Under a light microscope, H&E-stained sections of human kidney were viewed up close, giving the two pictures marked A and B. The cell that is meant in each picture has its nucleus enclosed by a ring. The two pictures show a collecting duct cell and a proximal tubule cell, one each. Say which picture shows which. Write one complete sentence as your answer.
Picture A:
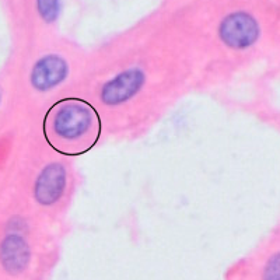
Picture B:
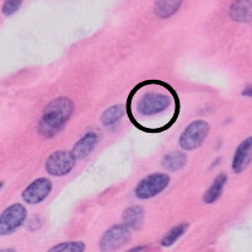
Picture A shows a proximal tubule cell and picture B shows a collecting duct cell.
